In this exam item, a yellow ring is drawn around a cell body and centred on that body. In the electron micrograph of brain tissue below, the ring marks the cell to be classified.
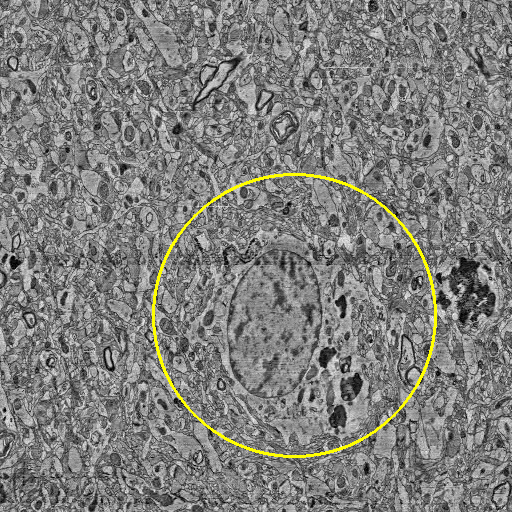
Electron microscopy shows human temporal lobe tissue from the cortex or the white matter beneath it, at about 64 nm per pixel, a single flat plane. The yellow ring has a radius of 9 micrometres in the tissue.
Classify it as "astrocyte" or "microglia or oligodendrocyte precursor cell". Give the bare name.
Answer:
astrocyte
